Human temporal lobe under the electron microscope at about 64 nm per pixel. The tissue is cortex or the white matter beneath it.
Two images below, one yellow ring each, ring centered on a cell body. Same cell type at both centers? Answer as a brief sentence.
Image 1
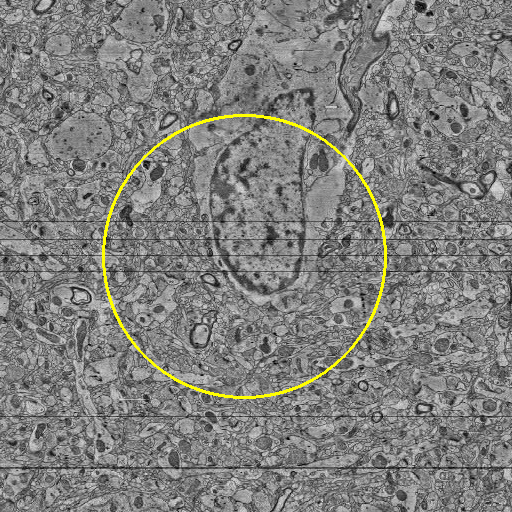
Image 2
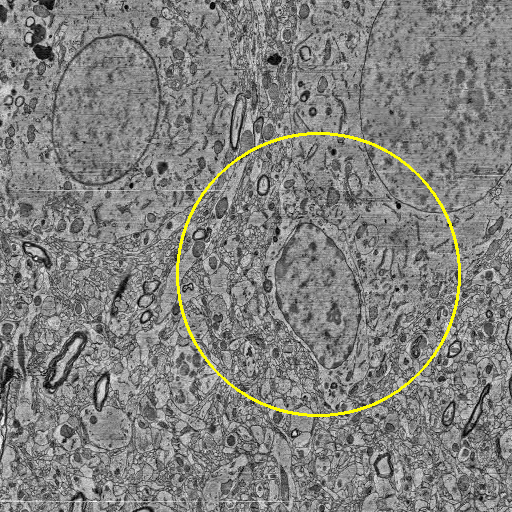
Yes, both cells are of the same type.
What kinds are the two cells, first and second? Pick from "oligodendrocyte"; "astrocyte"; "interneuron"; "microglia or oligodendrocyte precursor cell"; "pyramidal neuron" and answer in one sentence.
Both the first and the second picture show a microglial cell or oligodendrocyte precursor cell in the ring.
